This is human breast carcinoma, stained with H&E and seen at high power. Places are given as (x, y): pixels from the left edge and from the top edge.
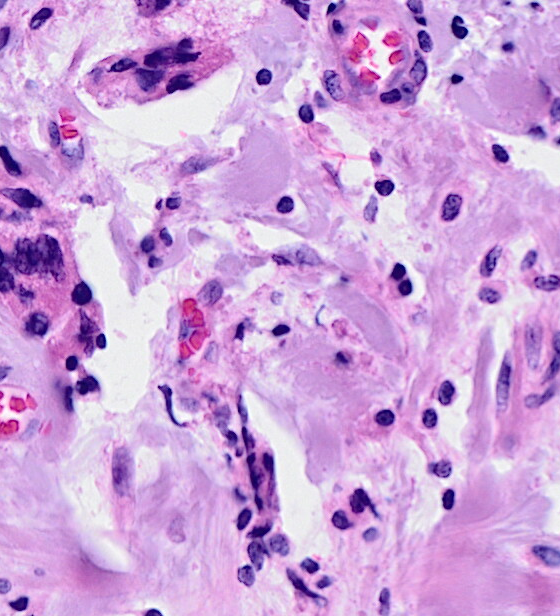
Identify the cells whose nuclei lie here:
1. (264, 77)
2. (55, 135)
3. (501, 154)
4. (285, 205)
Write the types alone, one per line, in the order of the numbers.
lymphocyte
endothelial cell
lymphocyte
lymphocyte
